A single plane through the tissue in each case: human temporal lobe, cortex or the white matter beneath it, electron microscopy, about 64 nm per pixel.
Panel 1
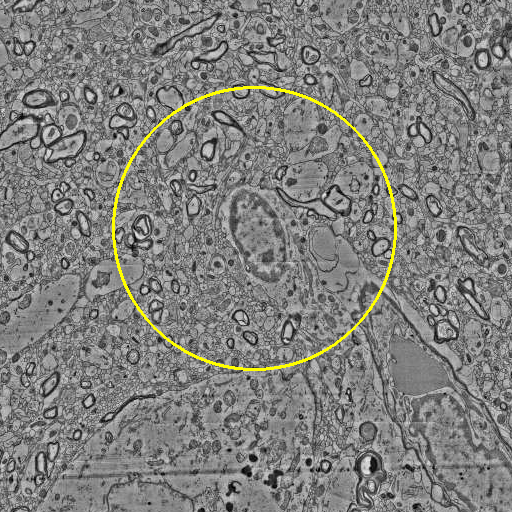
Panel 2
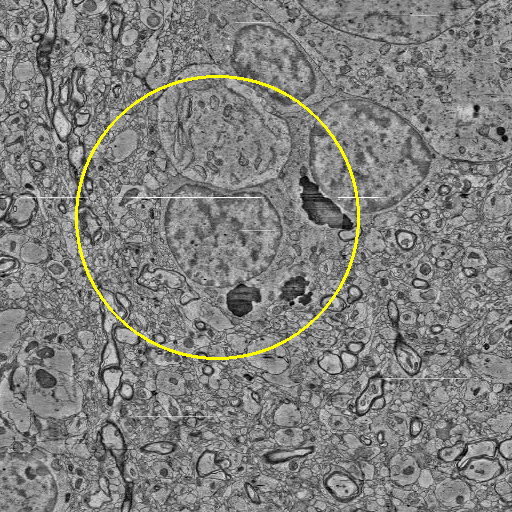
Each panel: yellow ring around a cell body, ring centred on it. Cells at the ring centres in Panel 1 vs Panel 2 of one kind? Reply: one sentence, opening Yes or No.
No, Panel 1 and Panel 2 have cells of two kinds at the ring centres.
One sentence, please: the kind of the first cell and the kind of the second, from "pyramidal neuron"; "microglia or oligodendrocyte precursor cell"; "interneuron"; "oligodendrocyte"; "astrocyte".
The ring in the first picture surrounds a microglial cell or oligodendrocyte precursor cell, and the ring in the second surrounds an oligodendrocyte.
